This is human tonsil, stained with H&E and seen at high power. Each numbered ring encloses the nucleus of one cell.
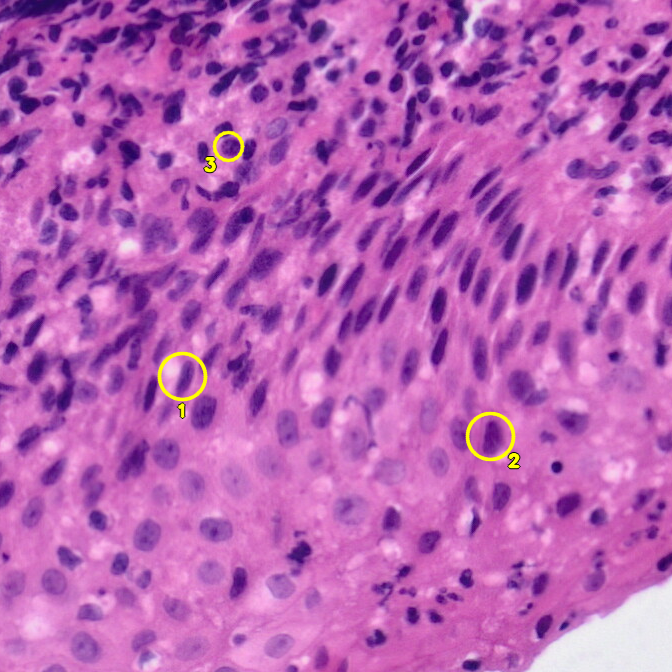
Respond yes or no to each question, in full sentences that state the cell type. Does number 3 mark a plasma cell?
Yes, the numbered cell 3 is identified as a plasma cell.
